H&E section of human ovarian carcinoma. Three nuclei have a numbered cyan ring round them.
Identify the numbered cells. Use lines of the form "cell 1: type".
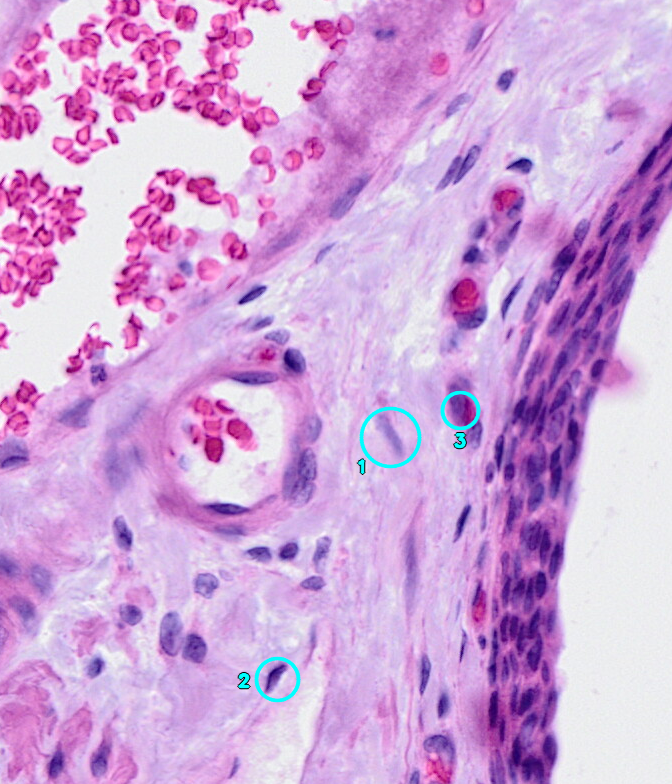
cell 1: fibroblast
cell 2: fibroblast
cell 3: endothelial cell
